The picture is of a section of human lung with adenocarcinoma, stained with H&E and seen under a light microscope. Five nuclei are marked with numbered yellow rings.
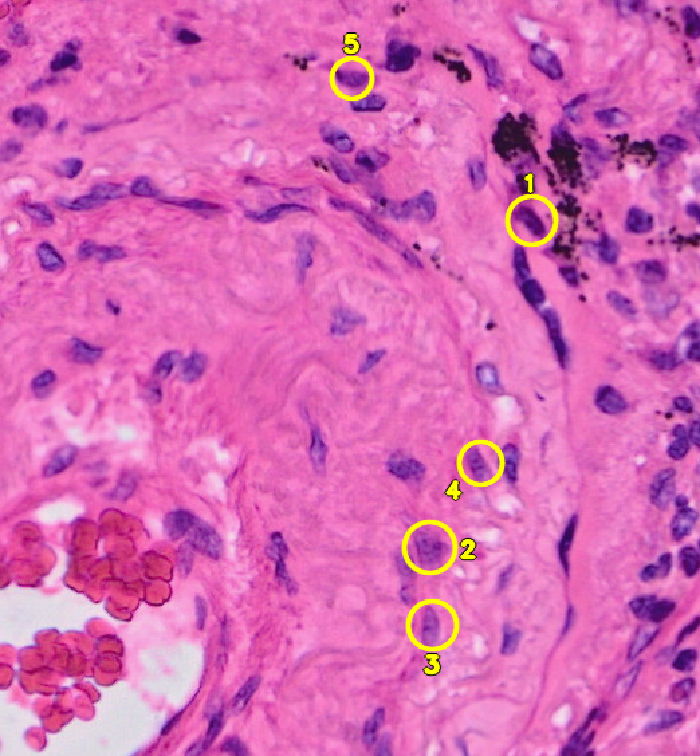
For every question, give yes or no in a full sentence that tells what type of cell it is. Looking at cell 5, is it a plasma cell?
Yes, the cell sitting at number 5 is a plasma cell.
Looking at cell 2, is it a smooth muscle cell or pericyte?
Yes, the cell at number 2 is a smooth muscle cell or pericyte.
